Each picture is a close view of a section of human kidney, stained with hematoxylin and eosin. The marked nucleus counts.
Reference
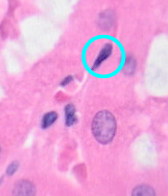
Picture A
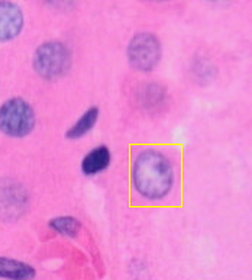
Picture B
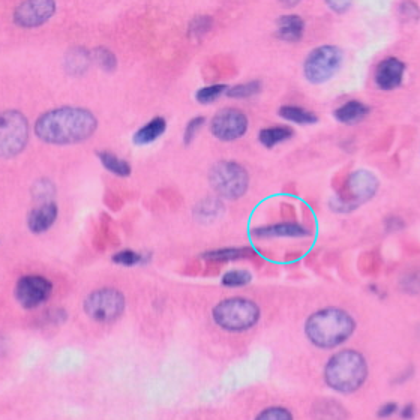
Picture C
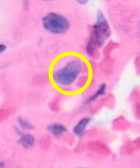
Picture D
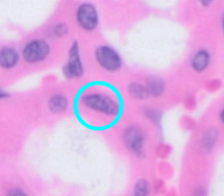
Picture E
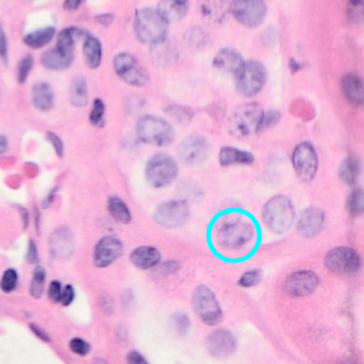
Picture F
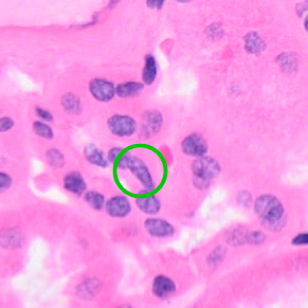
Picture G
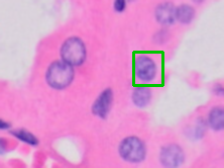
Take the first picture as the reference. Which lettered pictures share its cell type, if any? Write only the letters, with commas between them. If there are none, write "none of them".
B, C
